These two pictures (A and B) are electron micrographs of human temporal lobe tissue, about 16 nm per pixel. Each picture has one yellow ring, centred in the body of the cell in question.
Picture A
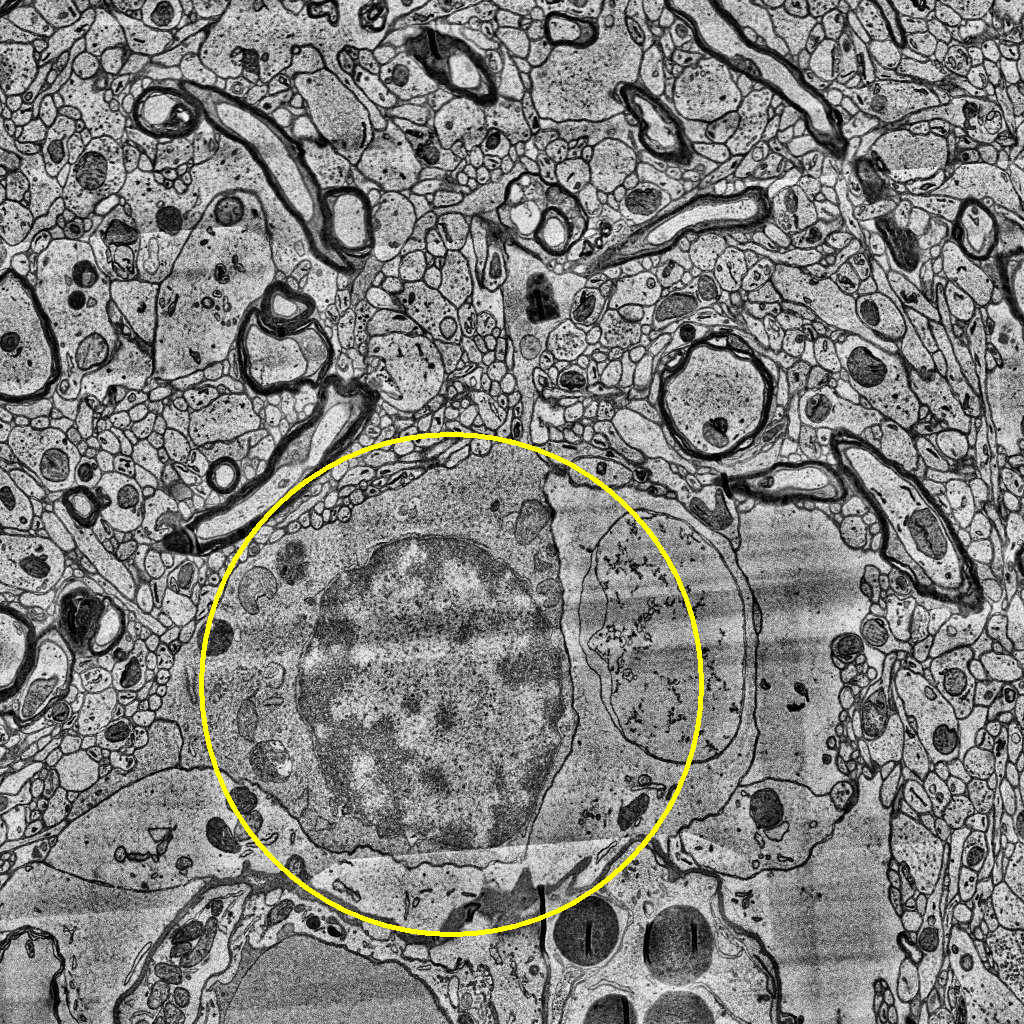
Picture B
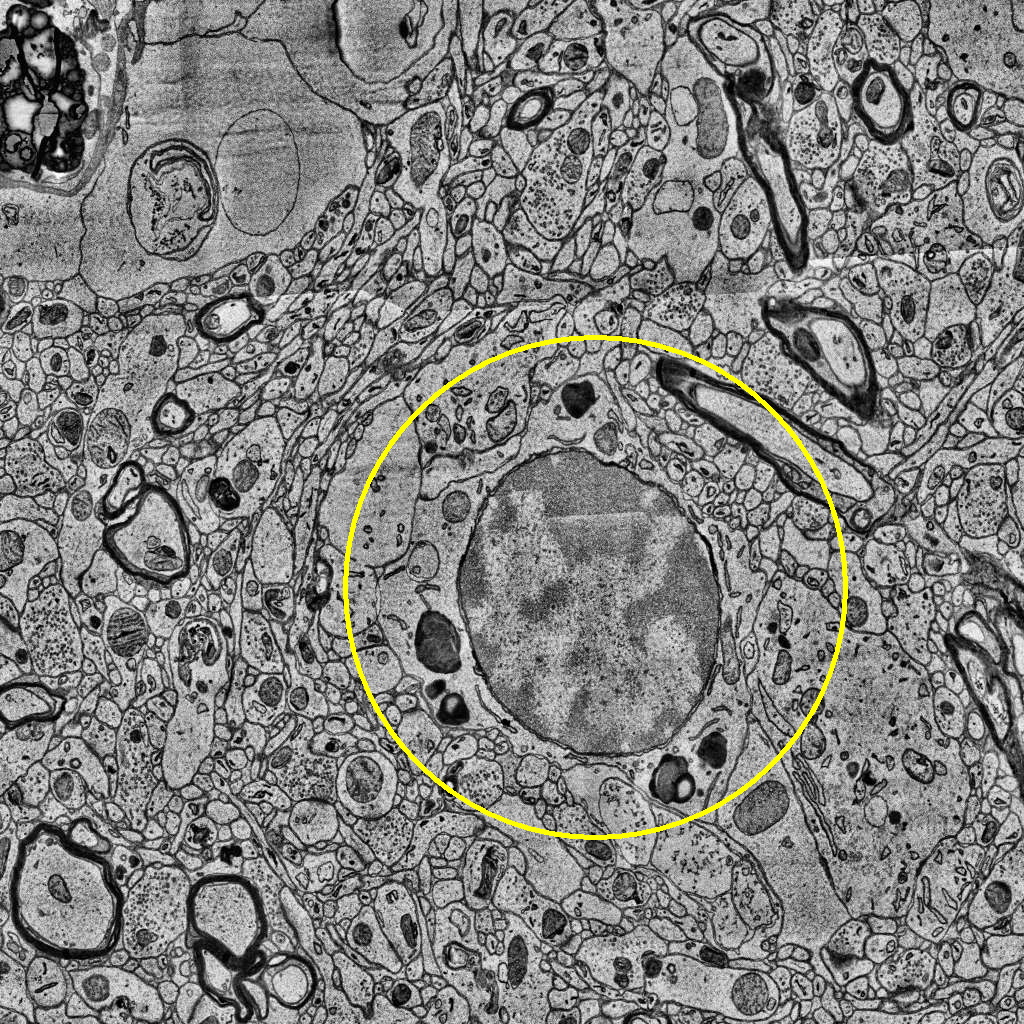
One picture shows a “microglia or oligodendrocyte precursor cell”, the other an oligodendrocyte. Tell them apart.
Picture A shows an oligodendrocyte and picture B shows a “microglia or oligodendrocyte precursor cell”.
